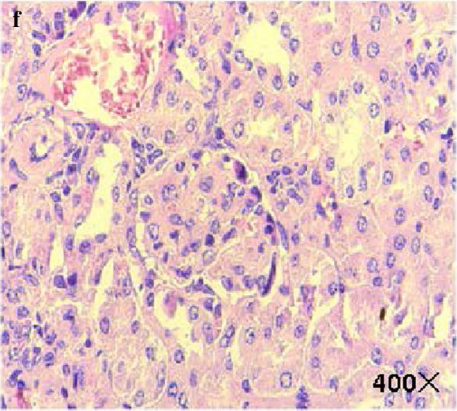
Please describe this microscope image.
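Kidney cortex with a glomerulus and surrounding tubules. The glomerulus forms a rounded tuft of capillary loops with scattered nuclei, enclosed by a thin capsule and a narrow clear space. Nearby, a vessel is filled with red blood cells. Tubules are lined by cuboidal epithelial cells with pale pink cytoplasm and round nuclei, with open lumens between them.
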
